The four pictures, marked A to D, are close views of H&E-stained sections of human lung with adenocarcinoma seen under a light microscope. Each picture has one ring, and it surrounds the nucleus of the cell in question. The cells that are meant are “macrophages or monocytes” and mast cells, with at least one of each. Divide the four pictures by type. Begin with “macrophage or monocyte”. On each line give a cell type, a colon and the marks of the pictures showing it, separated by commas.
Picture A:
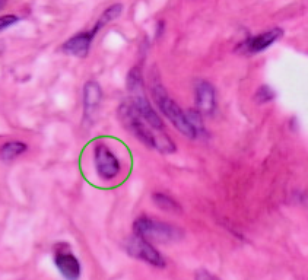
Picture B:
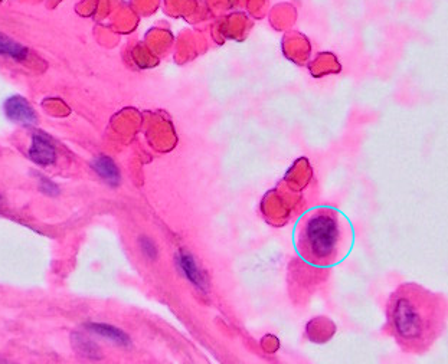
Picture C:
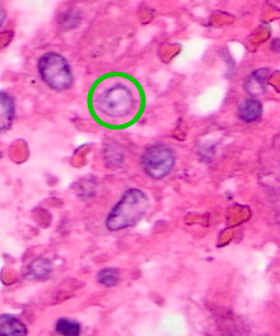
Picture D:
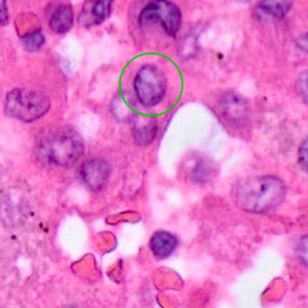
macrophage or monocyte: B, C, D
mast cell: A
